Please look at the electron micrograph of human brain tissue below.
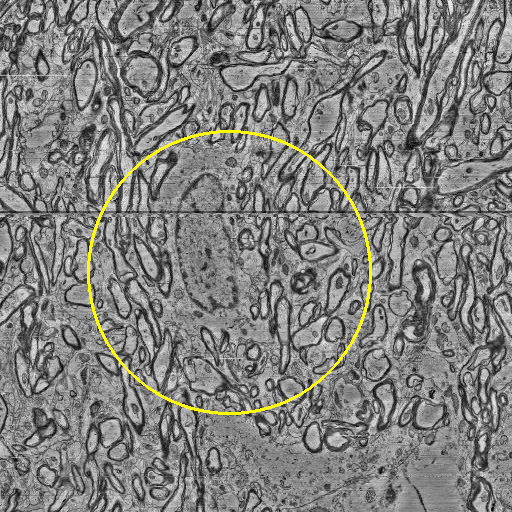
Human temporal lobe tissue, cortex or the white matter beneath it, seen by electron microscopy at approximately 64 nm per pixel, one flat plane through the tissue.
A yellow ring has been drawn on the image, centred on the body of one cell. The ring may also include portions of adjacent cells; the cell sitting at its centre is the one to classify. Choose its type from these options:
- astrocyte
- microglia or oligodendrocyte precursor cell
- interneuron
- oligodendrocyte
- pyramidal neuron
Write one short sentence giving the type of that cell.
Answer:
The cell in the middle of the ring is an astrocyte.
